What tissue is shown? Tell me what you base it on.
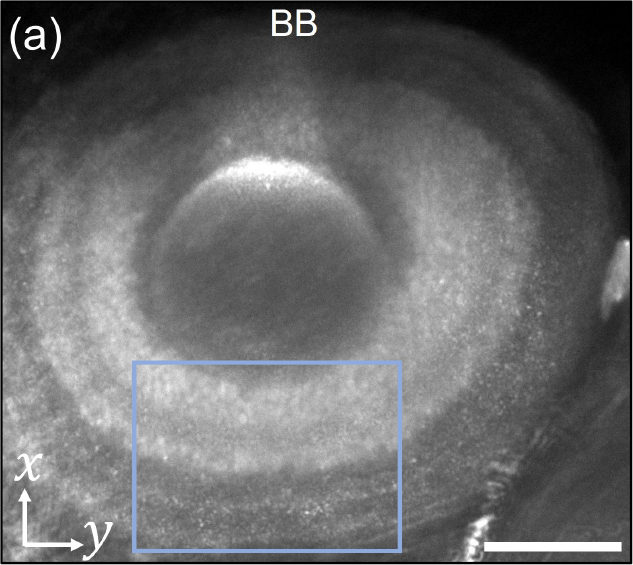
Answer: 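A round dark central body surrounded by concentric bright and dark curved bands. The bands of small bright dots wrap around the central sphere like layers of a cup.
Eye.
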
